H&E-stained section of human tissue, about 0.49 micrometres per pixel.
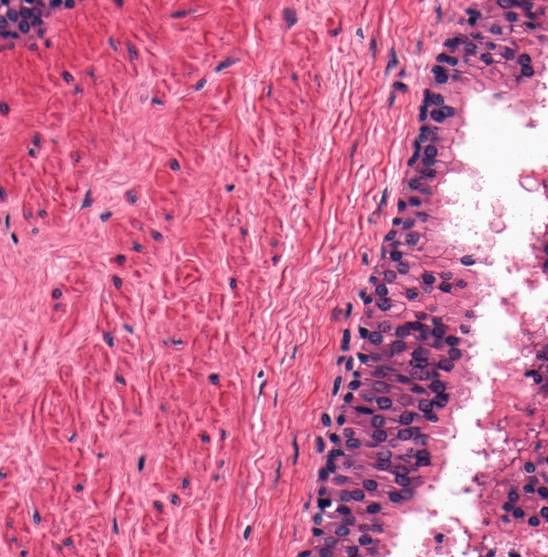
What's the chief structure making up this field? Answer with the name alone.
fibromuscular stroma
